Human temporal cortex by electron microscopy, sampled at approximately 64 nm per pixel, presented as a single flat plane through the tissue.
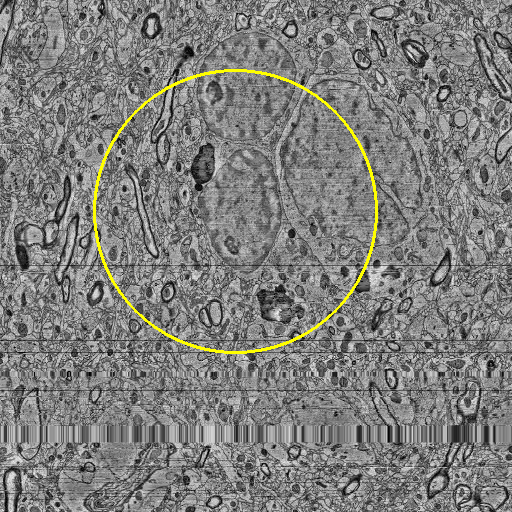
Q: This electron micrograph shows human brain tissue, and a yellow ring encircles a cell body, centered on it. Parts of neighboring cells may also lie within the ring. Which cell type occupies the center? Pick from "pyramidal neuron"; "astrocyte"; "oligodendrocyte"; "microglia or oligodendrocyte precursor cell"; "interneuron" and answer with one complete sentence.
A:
What sits at the ring's center in this micrograph is an oligodendrocyte, among those choices.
